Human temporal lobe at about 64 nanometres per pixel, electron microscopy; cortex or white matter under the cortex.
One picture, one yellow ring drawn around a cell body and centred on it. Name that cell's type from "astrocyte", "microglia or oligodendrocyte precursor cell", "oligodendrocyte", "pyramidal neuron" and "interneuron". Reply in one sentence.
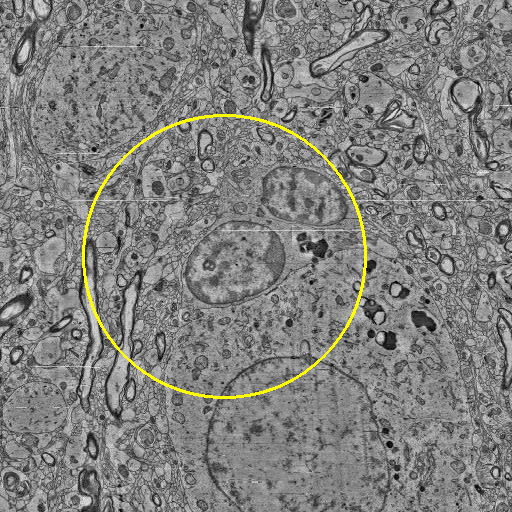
Centred in the ring is an oligodendrocyte.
